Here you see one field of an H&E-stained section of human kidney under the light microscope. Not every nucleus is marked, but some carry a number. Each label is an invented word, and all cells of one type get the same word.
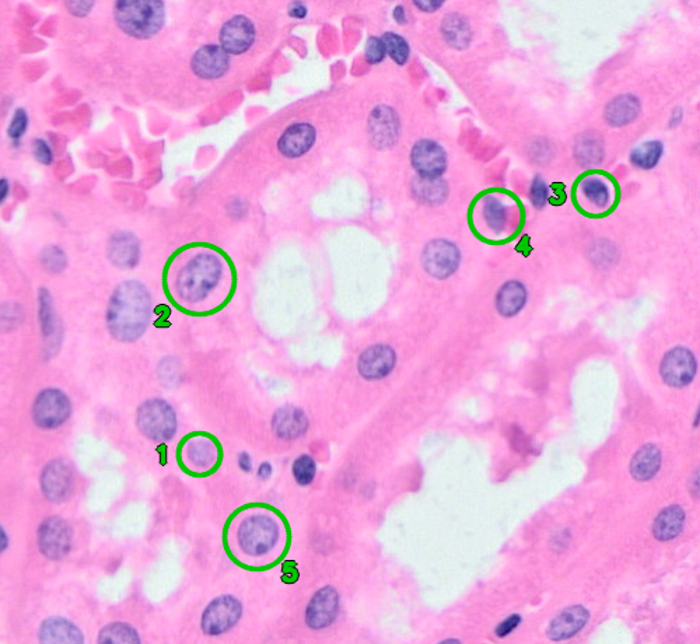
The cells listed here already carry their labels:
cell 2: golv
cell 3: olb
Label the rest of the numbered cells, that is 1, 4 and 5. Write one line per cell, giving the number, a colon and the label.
1: golv
4: olb
5: golv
